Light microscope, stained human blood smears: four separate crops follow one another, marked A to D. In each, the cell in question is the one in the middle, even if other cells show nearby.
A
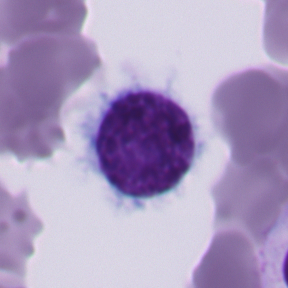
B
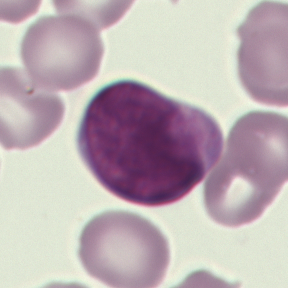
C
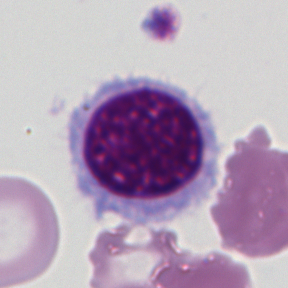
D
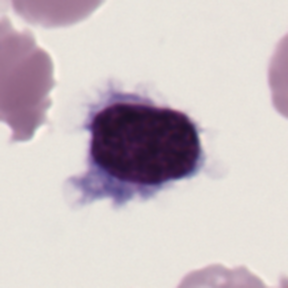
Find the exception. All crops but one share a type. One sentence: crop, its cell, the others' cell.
The remaining crops are all hairy cells, so crop B, being a myeloblast, is the exception.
